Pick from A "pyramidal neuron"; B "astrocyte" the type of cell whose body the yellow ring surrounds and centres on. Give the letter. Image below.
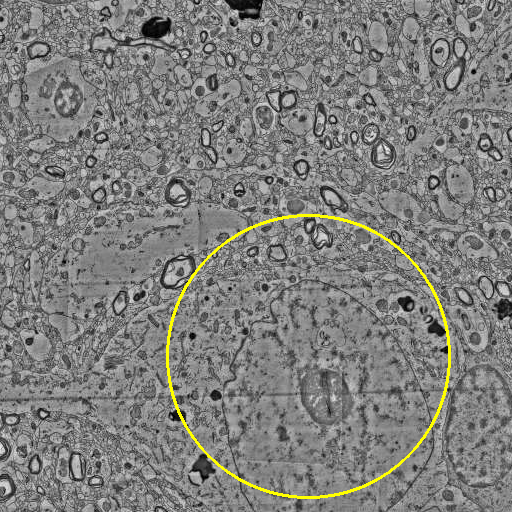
A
